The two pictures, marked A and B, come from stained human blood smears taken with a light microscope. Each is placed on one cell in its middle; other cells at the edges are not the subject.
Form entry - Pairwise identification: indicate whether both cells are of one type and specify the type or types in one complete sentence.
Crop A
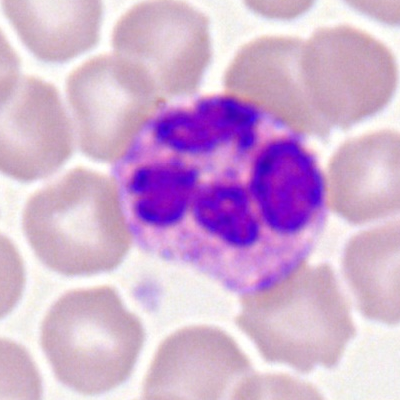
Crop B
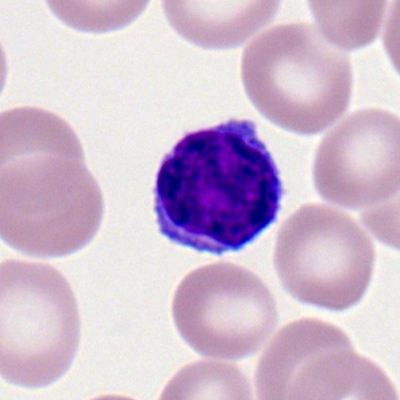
No, crop A captures a basophil, and crop B captures a lymphocyte.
